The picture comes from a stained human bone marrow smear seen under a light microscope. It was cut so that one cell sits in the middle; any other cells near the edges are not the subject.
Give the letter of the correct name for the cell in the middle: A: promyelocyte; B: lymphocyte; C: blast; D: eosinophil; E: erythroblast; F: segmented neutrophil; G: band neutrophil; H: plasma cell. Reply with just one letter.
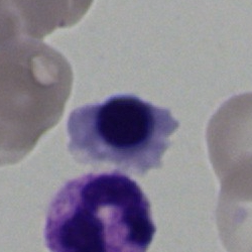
E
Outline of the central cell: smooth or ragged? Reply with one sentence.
The cell membrane follows an uneven contour, either ragged or bearing projections.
